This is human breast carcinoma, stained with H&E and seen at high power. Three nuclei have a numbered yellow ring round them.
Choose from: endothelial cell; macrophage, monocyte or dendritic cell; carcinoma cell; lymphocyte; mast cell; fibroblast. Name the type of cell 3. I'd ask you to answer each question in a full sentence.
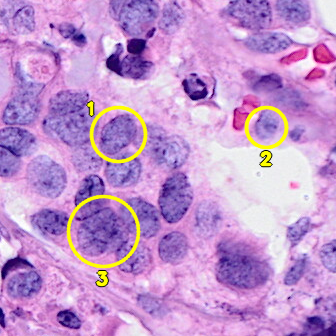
Heads up, the cell numbered 3 is a carcinoma cell.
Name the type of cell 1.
Here the cell numbered 1 is a carcinoma cell.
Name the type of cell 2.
Classified as an endothelial cell is the cell with the number 2.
